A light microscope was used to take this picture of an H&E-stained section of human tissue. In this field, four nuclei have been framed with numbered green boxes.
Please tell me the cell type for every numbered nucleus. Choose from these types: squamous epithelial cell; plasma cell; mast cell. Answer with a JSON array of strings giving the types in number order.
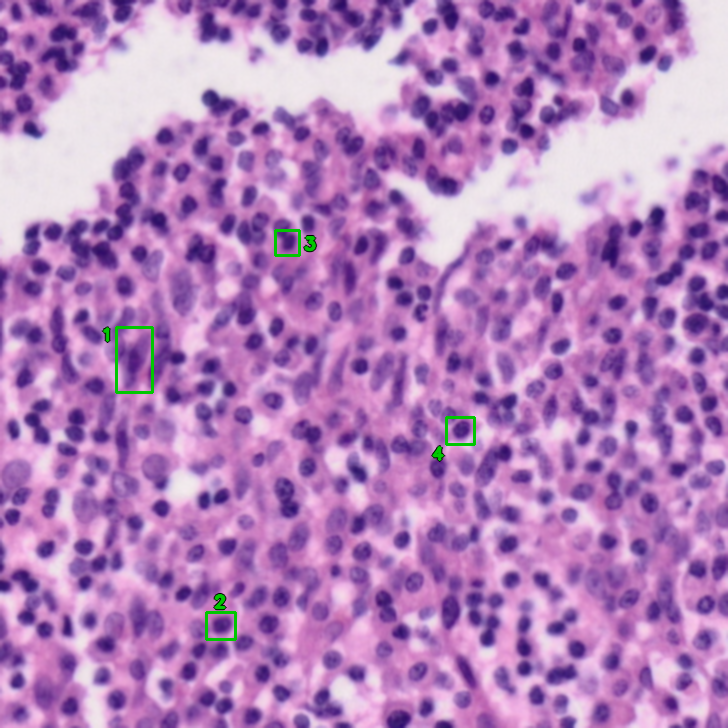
["squamous epithelial cell", "plasma cell", "plasma cell", "plasma cell"]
